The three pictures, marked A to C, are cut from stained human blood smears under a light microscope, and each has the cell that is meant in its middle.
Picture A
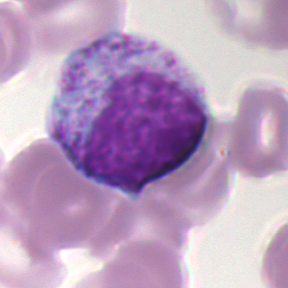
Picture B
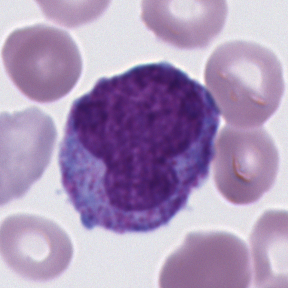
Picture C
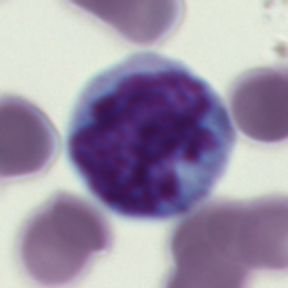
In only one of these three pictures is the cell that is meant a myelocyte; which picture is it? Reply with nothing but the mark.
A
